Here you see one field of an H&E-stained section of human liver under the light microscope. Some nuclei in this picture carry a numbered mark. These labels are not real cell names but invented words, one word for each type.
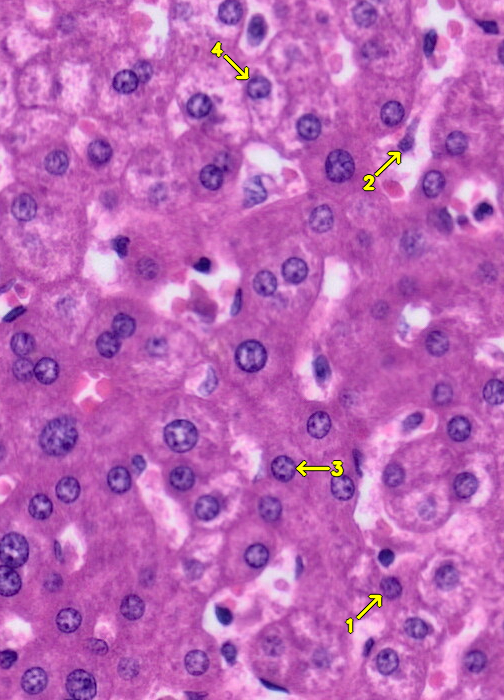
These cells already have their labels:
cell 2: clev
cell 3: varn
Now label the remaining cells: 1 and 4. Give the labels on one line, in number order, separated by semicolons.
varn; varn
